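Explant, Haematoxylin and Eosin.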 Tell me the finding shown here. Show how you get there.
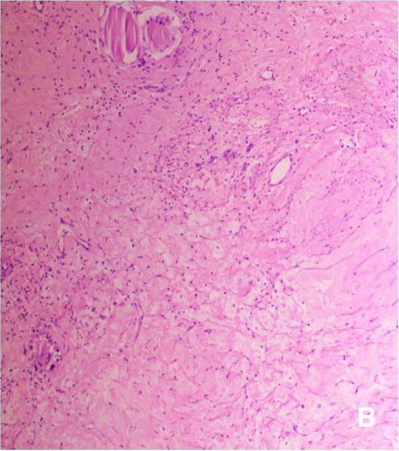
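Hyalinised tissue. Only scattered small nuclei within the matrix. No sheets of tumour cells.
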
